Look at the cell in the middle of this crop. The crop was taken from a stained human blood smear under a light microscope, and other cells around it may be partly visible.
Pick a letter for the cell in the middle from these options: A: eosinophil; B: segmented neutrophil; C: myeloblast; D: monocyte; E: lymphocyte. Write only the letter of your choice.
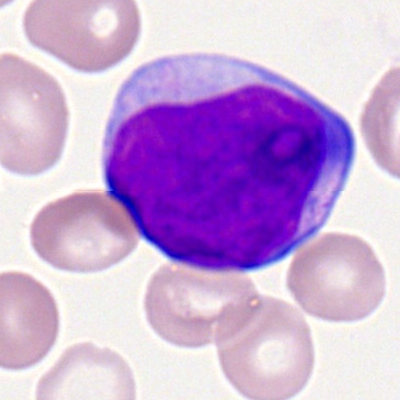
C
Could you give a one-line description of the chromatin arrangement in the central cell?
The nuclear chromatin is fine, showing no coarse aggregates.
